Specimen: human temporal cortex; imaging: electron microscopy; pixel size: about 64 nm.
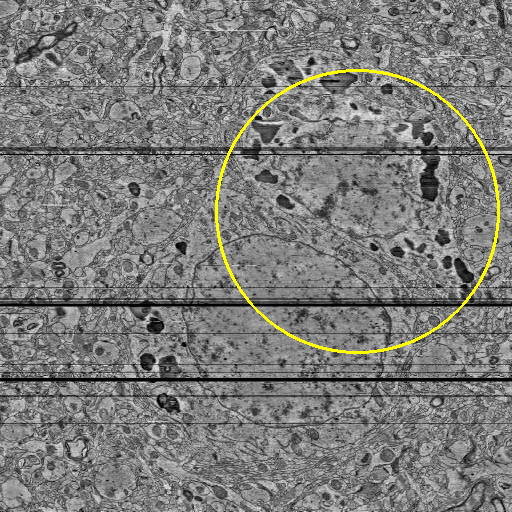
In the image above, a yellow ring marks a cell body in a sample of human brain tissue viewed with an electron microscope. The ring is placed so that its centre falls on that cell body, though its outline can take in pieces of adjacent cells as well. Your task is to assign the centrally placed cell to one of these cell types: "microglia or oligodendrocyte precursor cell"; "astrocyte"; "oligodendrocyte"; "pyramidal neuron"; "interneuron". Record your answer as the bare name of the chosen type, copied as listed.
interneuron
